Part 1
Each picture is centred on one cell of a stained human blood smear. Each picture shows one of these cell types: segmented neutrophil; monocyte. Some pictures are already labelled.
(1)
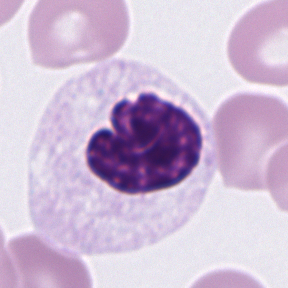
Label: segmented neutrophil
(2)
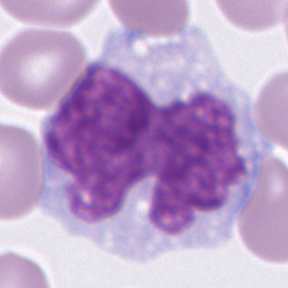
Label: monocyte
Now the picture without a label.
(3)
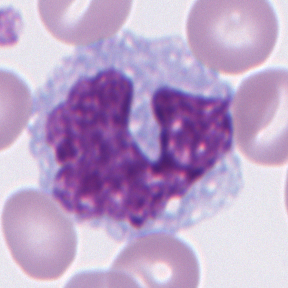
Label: monocyte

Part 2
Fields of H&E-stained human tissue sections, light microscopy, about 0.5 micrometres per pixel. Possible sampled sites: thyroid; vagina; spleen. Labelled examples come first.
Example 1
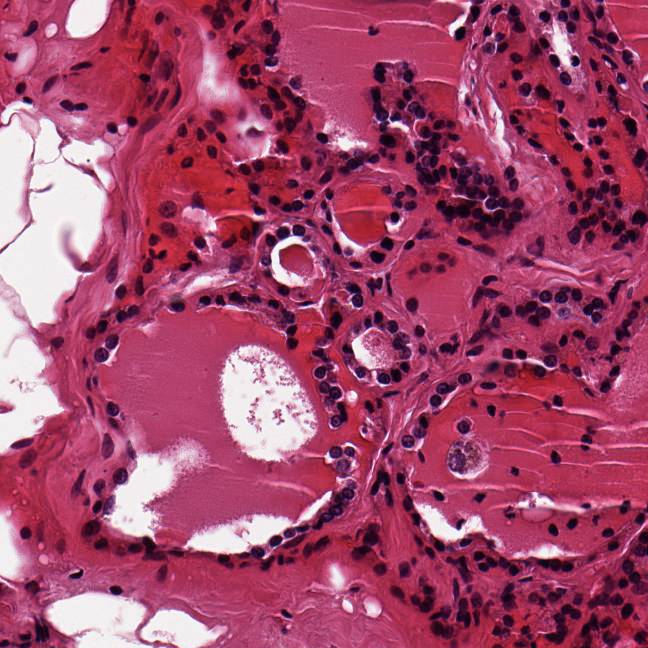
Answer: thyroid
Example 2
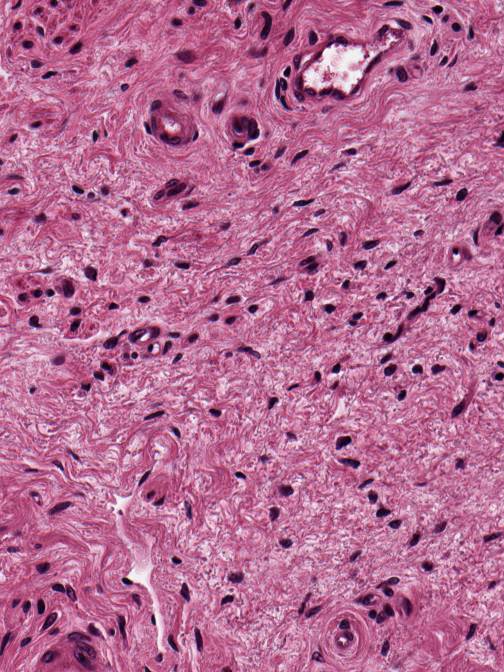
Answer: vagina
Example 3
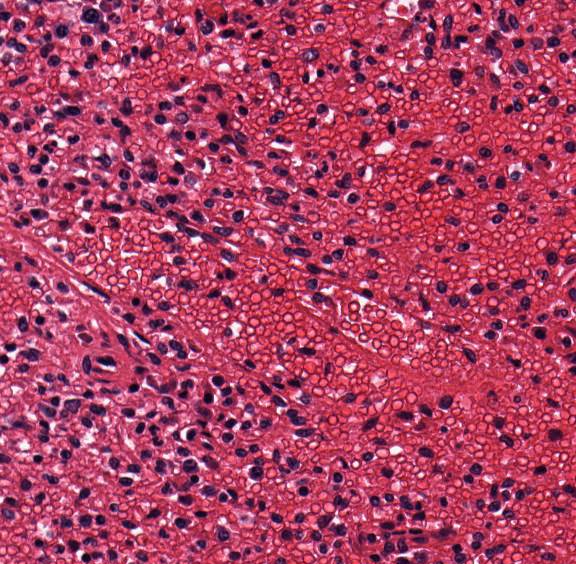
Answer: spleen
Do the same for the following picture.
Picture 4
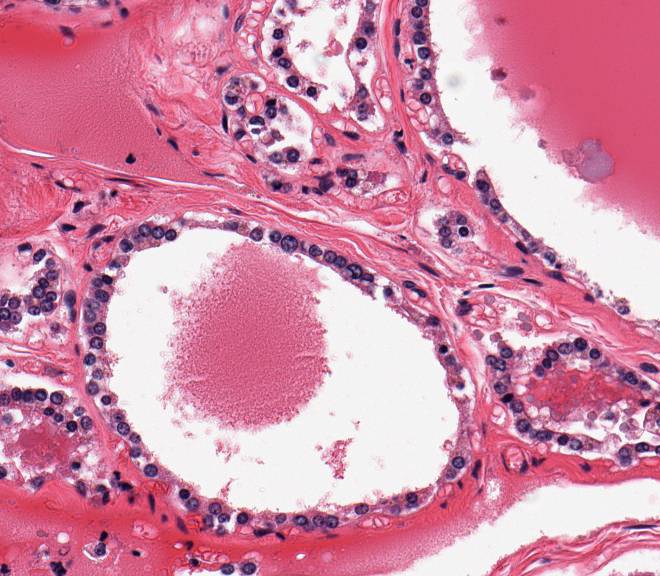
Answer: thyroid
